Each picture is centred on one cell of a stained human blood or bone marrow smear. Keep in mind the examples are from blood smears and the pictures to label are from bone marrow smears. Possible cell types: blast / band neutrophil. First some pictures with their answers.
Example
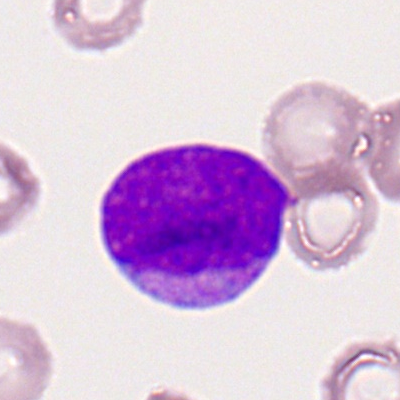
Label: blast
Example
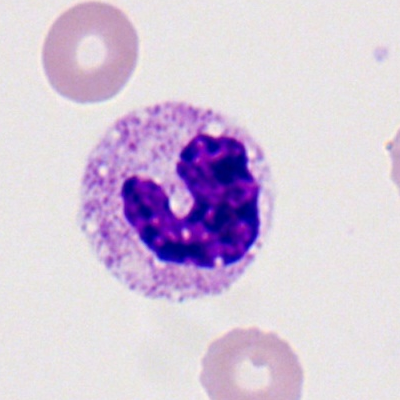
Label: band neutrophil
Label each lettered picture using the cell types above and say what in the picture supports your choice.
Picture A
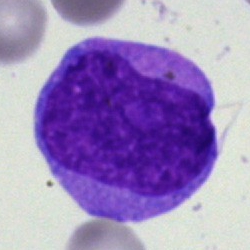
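blast. Evidence: The nucleus is large and fills most of the cell.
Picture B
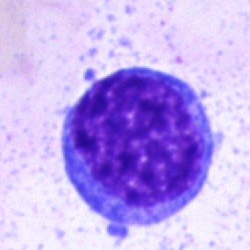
blast. Evidence: The cytoplasm forms only a narrow rim around the nucleus.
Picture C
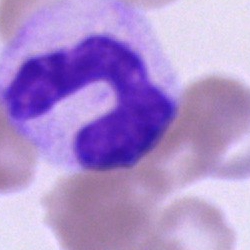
band neutrophil. Evidence: The nucleus is a single curved band bent into a horseshoe shape.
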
